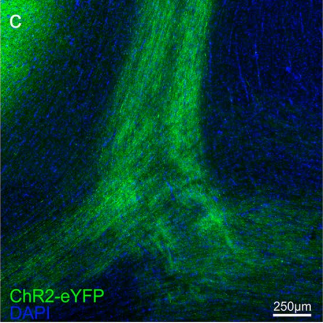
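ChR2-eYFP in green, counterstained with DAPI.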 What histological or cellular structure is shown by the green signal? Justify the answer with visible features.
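Many thin parallel green fibres run together in a broad band. The answer: axonal fibers.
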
